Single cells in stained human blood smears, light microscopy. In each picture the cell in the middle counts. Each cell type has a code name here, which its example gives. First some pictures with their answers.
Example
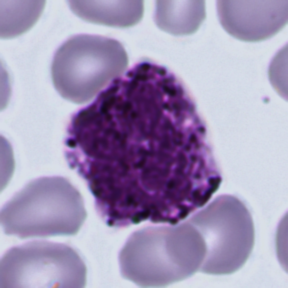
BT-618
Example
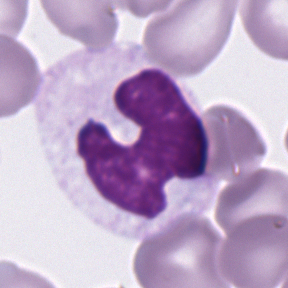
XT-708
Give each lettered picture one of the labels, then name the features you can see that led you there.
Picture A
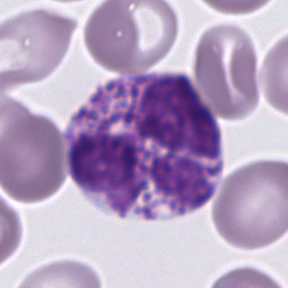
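Answer: BT-618. The cytoplasm holds coarse dark blue-purple granules.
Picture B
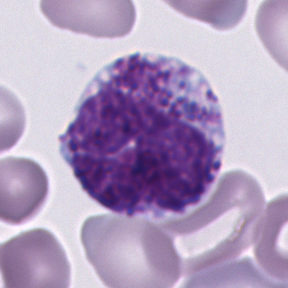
Answer: BT-618. The nucleus fills most of the cell and lies toward the lower left.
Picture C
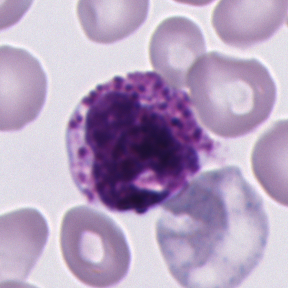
Answer: BT-618. A dark purple nuclear mass fills most of the cell.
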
